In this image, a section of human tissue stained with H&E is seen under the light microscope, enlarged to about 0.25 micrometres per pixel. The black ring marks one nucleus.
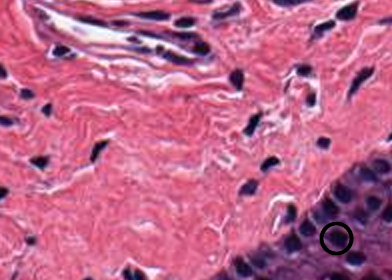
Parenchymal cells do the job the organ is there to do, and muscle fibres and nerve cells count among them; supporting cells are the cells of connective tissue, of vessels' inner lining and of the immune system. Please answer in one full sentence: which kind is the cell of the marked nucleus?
The marked nucleus is found in a parenchymal cell, namely a squamous epithelial cell.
